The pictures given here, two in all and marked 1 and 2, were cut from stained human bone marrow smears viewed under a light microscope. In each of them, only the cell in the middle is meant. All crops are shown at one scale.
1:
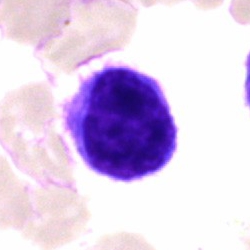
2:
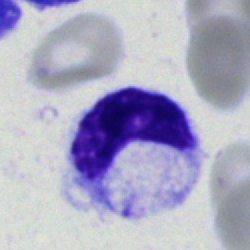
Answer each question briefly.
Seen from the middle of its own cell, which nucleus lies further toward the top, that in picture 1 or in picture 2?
2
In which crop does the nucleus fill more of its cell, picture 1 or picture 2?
1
